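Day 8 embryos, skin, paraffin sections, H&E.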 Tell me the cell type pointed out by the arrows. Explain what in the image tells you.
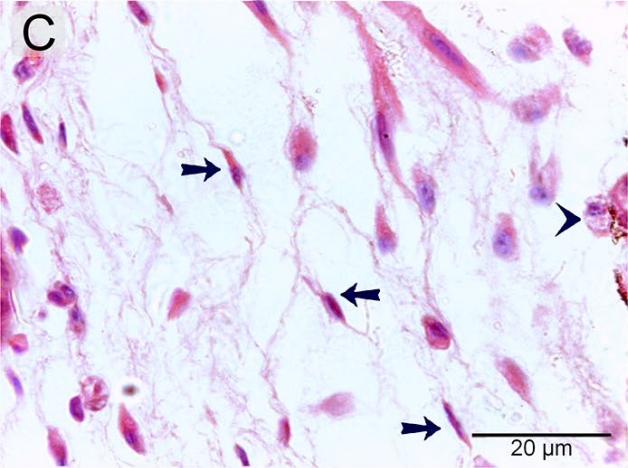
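Marked cells are spindle-shaped with an elongated nucleus. Thin cytoplasmic processes extend from the cell body into the loose matrix. So: interstitial cells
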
